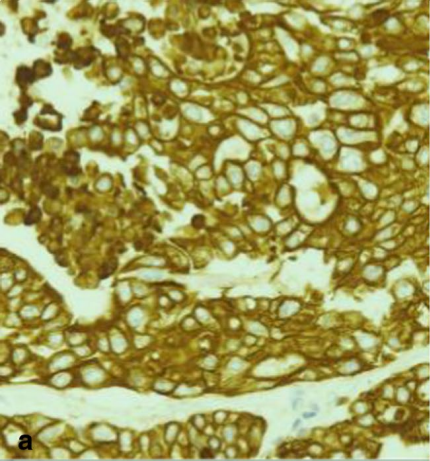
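This shows a tumor made of epithelial cells arranged in crowded nests and sheets, with a few small gland-like spaces, separated by thin bands of pale stroma. A strong brown stain outlines each cell membrane and fills much of the cytoplasm, giving a honeycomb pattern. The few spindle-shaped stromal cells between the nests stay unstained with blue nuclei.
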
